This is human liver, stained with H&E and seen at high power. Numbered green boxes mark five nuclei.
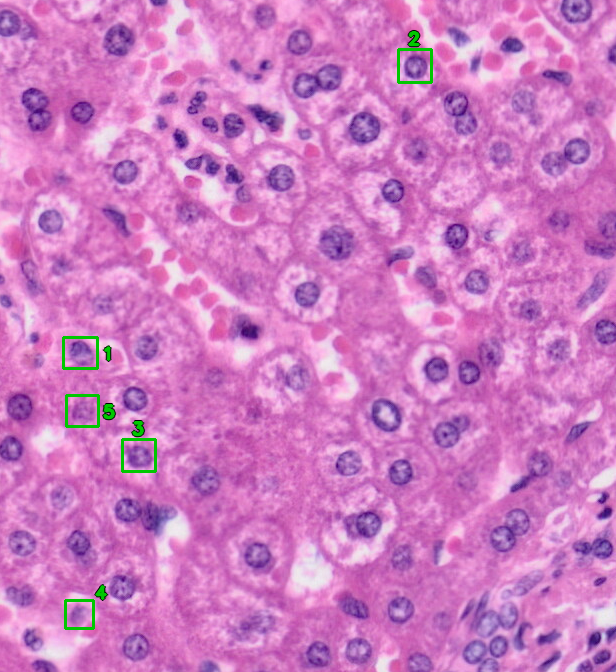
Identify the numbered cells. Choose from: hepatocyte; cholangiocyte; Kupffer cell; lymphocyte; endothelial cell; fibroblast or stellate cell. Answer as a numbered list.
1. Kupffer cell
2. hepatocyte
3. hepatocyte
4. Kupffer cell
5. hepatocyte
